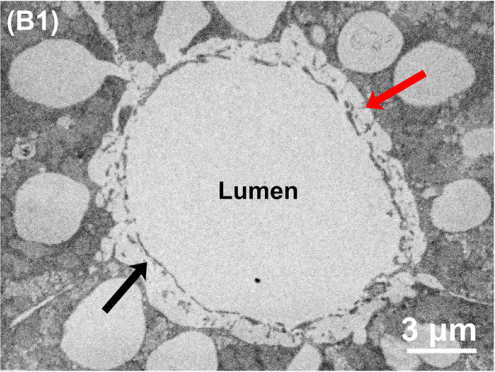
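Hepatic sinusoid with a large, empty, rounded lumen lined by a very thin, interrupted layer of flat endothelial cells. Beneath the lining lies a pale, irregular space separating it from the surrounding darker tissue, which contains several rounded pale droplets.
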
